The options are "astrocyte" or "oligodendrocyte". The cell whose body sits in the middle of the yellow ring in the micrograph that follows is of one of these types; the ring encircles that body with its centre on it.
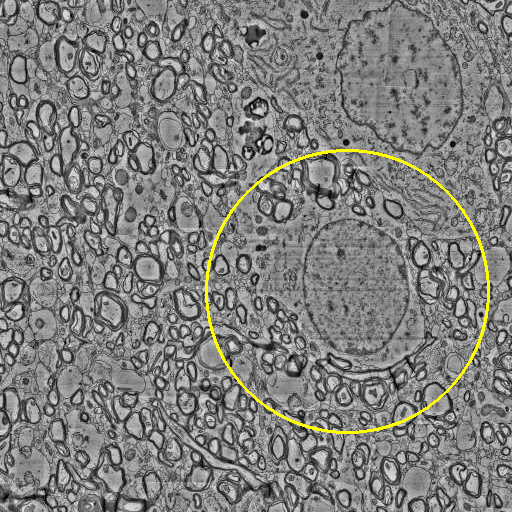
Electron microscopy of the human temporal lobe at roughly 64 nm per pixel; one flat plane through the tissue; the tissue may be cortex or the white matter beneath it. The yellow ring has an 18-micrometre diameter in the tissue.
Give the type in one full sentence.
Going by the micrograph, the cell centred in the yellow ring is an astrocyte.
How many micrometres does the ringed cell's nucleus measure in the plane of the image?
About 9 micrometres by about 7 micrometres in this plane.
